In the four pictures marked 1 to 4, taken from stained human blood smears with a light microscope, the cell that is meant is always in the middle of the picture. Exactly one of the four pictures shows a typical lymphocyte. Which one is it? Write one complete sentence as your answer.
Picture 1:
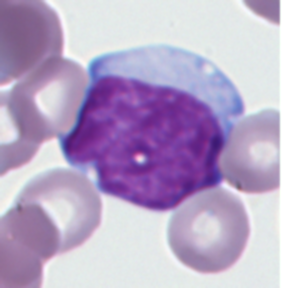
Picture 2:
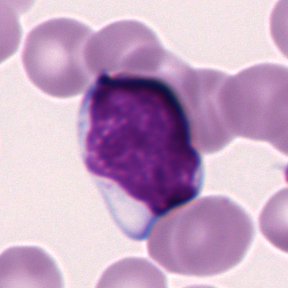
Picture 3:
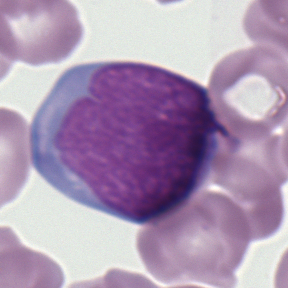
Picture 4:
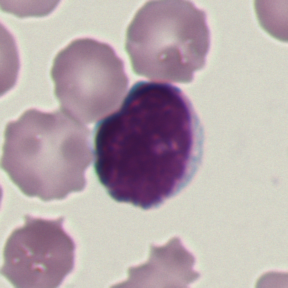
Picture 4 is the one that shows the typical lymphocyte.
